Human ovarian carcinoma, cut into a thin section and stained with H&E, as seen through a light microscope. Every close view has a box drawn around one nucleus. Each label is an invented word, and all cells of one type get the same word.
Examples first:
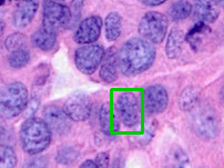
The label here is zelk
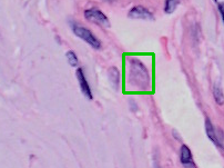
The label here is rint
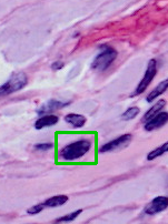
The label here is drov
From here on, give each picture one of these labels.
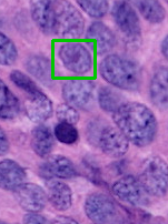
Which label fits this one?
zelk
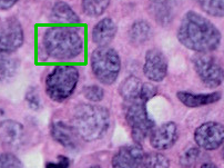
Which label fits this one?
zelk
